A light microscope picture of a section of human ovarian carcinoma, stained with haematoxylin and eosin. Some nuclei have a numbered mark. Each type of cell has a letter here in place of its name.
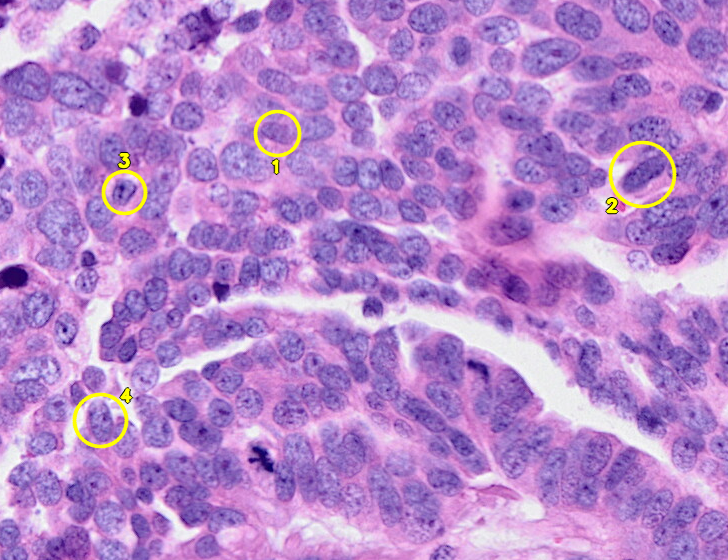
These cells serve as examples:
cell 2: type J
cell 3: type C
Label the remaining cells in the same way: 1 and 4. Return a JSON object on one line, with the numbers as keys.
{"1": "type J", "4": "type J"}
